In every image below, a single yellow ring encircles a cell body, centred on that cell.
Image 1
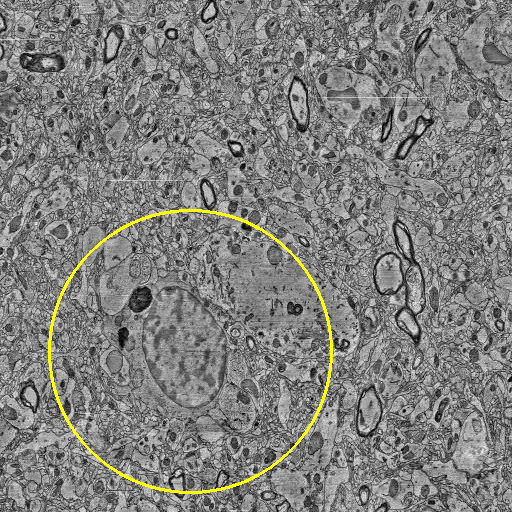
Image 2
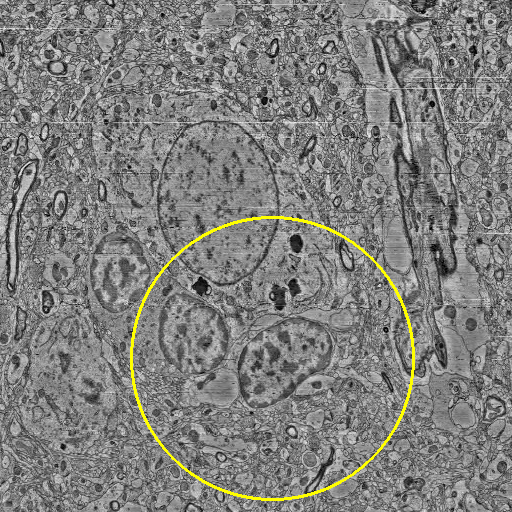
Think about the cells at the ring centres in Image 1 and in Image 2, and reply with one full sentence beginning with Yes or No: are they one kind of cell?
No, the cells centred in the rings of Image 1 and Image 2 are two kinds of cell.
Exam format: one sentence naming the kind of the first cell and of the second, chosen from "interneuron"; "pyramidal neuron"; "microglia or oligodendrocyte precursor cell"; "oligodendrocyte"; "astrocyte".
The first picture's cell is an oligodendrocyte, and the second picture's cell is a microglial cell or oligodendrocyte precursor cell.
